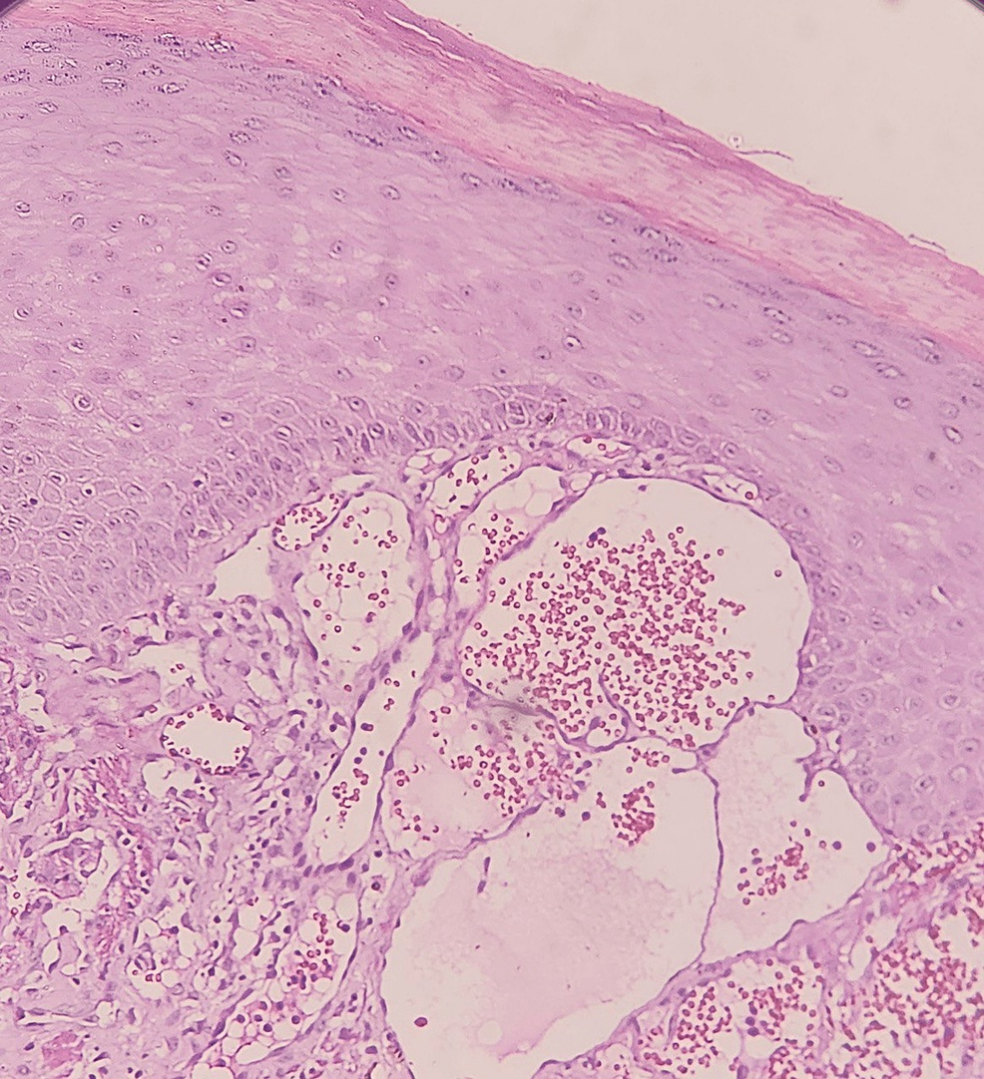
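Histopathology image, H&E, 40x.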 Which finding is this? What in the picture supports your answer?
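Large, thin-walled, irregular spaces lie directly beneath the epithelium. The spaces contain many small red cells and pale pink fluid. The spaces are lined by a thin, flattened cell layer.
Answer: dilated vascular spaces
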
